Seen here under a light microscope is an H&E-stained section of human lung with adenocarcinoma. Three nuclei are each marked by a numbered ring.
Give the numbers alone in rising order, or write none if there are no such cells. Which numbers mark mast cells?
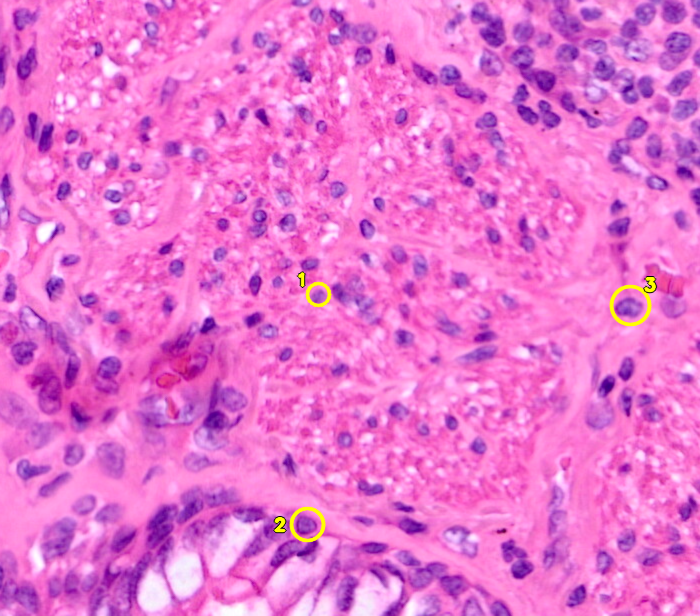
3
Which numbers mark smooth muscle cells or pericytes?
1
